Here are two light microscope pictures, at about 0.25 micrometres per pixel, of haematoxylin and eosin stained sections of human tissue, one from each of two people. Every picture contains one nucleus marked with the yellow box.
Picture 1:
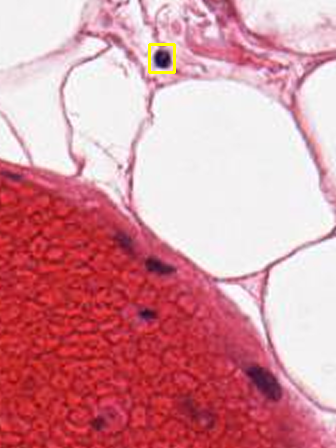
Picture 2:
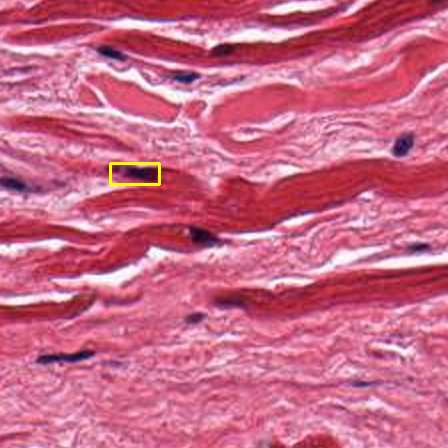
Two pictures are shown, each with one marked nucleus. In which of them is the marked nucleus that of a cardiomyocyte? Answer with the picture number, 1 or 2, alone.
2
